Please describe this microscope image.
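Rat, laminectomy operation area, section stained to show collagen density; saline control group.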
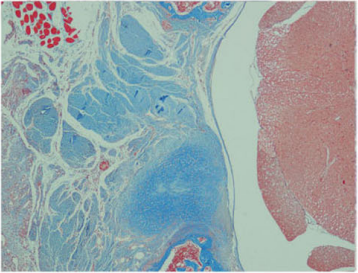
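The blue tissue is arranged as wavy, interlacing bundles separated by clear spaces, merging below centre into a dense, homogeneous blue mass. Small clusters of bright red material lie at the upper left. Blue-stained bone-like structures appear at the top and bottom edges. On the right, separated by a narrow clear cleft, lies a large rounded region of finely textured red-stained tissue, bounded by a thin membrane, with little blue within it.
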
